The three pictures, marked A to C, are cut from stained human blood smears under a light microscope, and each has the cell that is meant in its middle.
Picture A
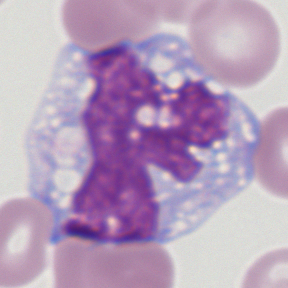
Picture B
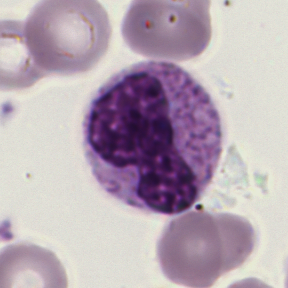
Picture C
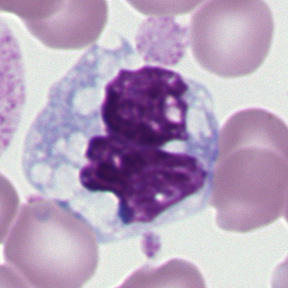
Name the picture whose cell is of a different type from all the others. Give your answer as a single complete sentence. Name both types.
Picture B differs, because its cell is a band neutrophil and the rest are monocytes.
